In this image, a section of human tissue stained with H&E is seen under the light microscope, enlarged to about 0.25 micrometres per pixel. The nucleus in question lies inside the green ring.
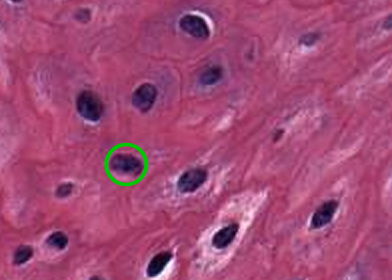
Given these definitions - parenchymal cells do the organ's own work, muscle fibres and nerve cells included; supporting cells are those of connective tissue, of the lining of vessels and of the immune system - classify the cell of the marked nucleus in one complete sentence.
The marked nucleus belongs to the parenchyma, being the nucleus of a squamous epithelial cell.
